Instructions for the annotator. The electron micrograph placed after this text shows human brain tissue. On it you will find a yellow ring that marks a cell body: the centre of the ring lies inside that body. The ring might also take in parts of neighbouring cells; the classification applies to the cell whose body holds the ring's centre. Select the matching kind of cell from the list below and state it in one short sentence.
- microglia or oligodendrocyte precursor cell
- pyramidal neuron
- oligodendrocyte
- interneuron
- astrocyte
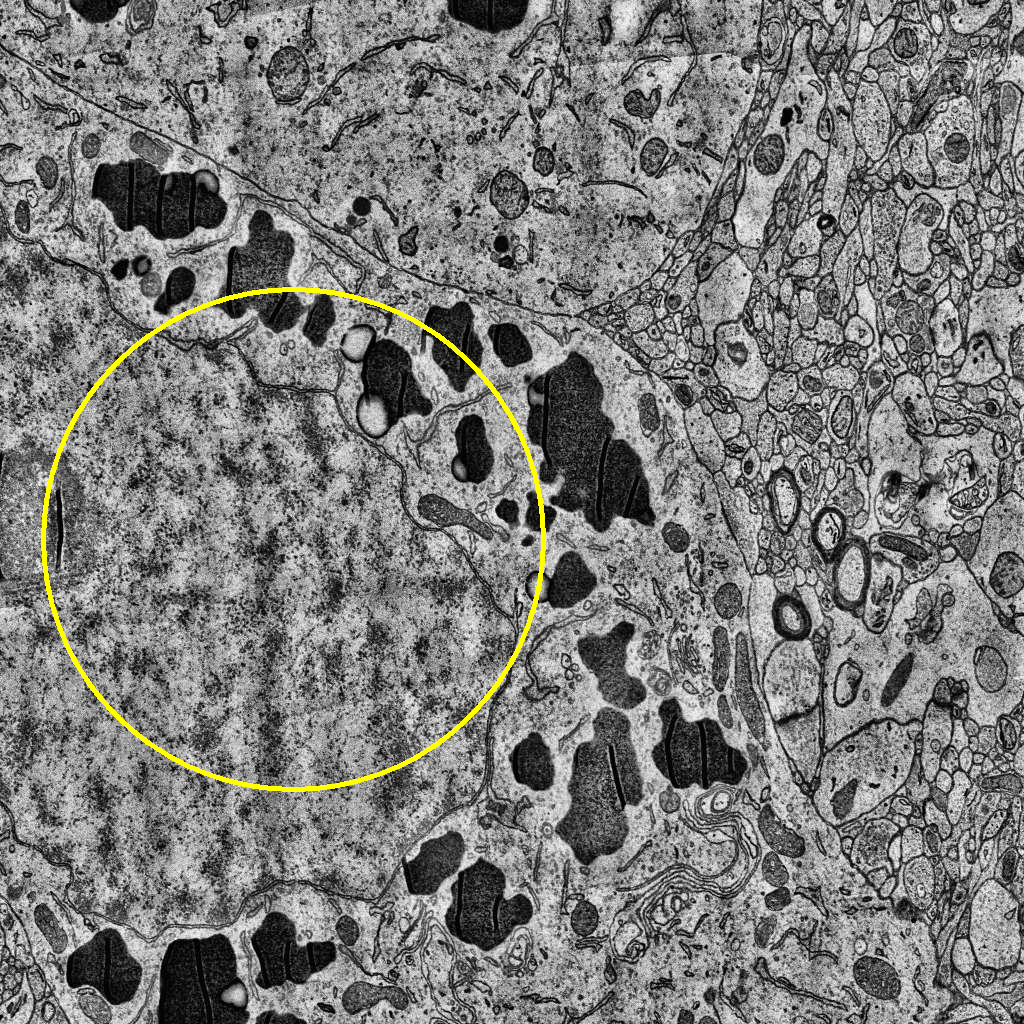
The centre of the ring lies in the cell body of an interneuron.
